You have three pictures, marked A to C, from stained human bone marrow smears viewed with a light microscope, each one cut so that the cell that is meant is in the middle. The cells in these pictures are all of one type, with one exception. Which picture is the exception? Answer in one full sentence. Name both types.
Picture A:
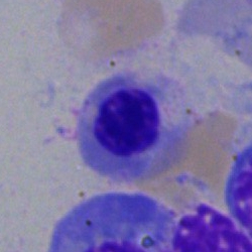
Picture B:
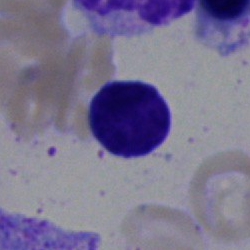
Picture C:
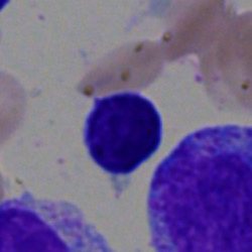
All pictures except A show lymphocytes; picture A shows an erythroblast.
